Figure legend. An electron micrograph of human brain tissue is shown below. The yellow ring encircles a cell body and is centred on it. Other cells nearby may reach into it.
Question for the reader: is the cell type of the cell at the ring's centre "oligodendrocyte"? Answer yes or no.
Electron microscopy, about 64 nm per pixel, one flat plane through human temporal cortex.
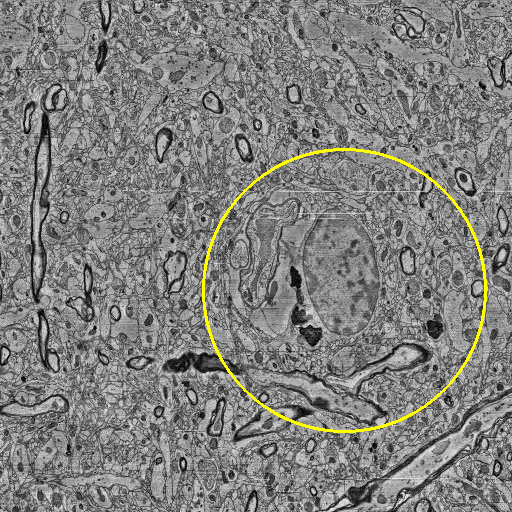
yes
